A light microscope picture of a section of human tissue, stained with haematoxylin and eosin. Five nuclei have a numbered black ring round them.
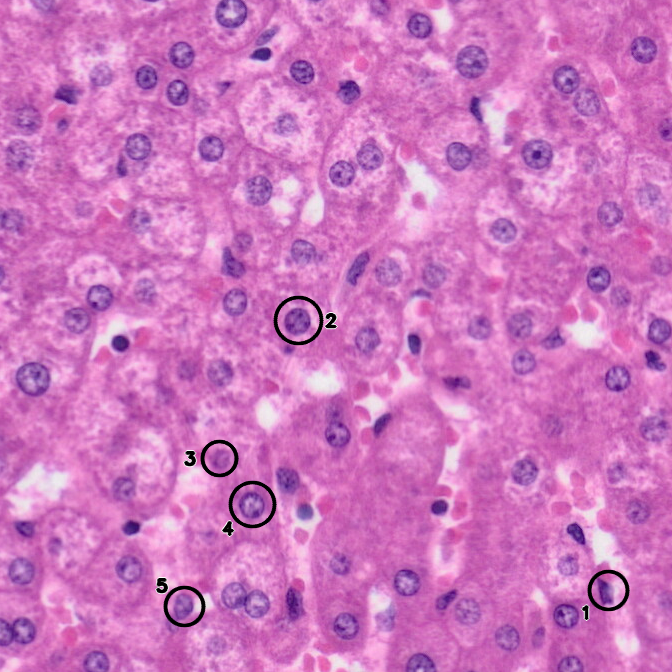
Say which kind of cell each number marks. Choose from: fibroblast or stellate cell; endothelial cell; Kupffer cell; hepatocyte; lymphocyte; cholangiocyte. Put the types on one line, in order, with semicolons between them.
endothelial cell; hepatocyte; hepatocyte; hepatocyte; Kupffer cell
